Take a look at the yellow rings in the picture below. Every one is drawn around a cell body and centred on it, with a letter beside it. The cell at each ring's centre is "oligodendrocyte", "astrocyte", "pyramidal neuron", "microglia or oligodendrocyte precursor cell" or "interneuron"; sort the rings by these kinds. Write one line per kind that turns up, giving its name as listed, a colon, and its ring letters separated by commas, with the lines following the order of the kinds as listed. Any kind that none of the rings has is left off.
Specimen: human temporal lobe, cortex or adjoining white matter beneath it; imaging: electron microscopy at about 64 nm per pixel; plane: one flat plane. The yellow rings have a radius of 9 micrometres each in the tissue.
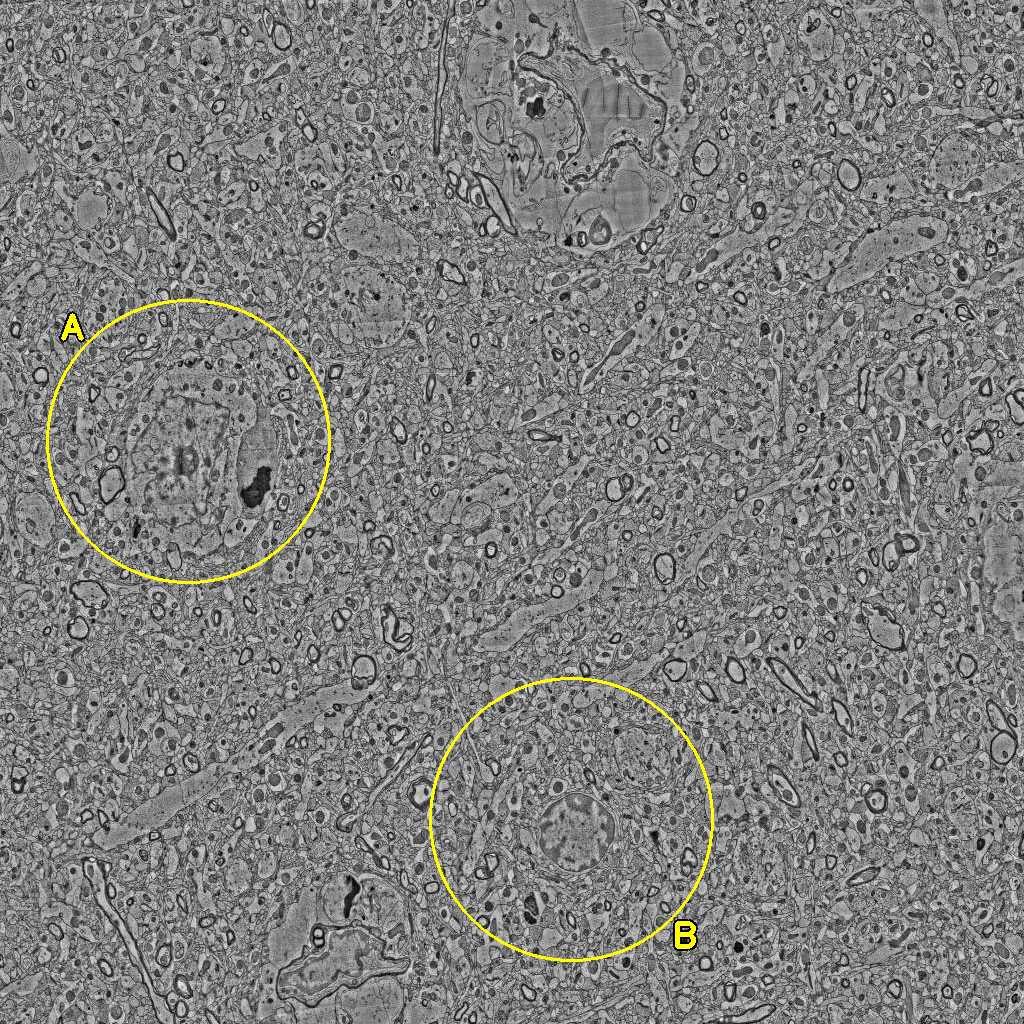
microglia or oligodendrocyte precursor cell: B
interneuron: A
